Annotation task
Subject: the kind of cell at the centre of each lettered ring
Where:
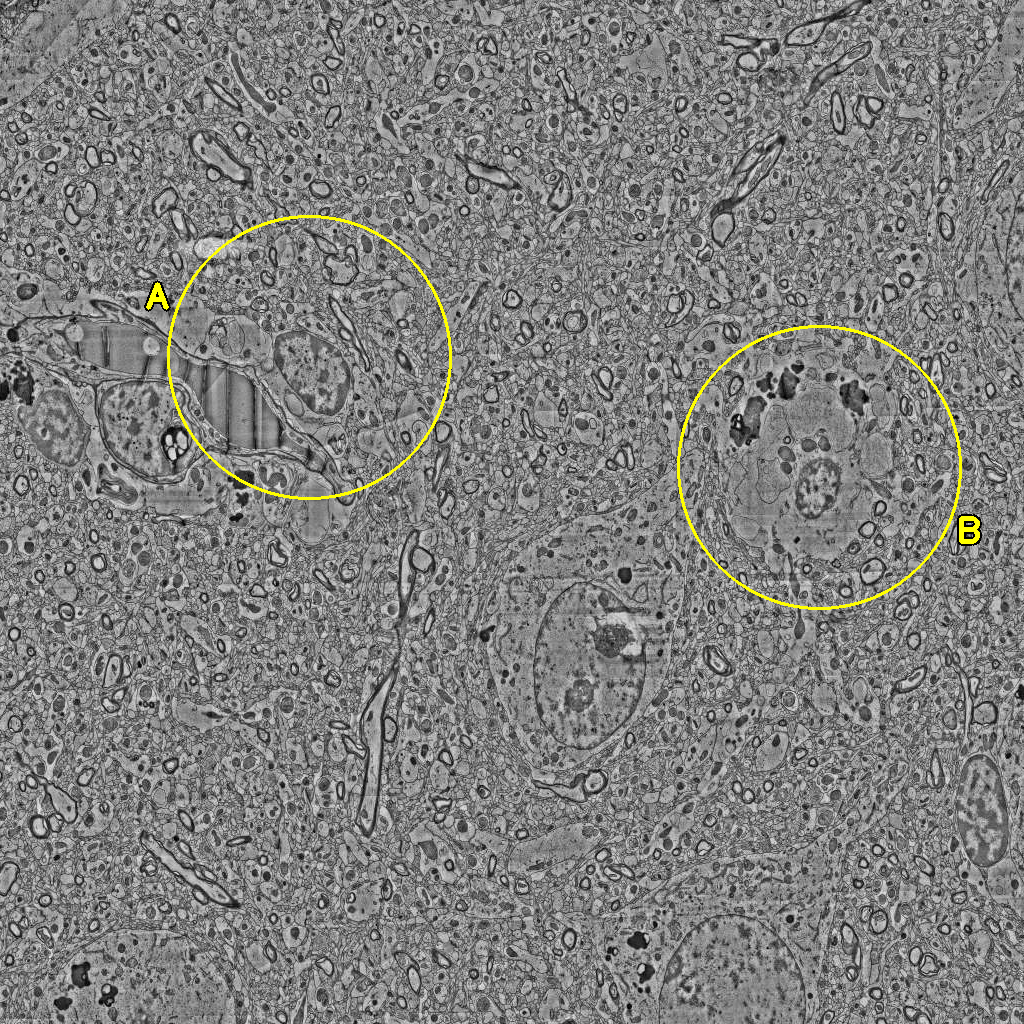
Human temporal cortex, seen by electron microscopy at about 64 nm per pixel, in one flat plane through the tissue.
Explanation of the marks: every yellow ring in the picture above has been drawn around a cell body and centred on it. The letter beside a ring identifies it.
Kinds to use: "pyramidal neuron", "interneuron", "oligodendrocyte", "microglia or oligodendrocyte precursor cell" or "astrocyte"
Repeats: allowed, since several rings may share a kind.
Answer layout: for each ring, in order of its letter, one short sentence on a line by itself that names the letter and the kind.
The ring lettered A is drawn around a microglial cell or oligodendrocyte precursor cell.
The ring lettered B is drawn around an astrocyte.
